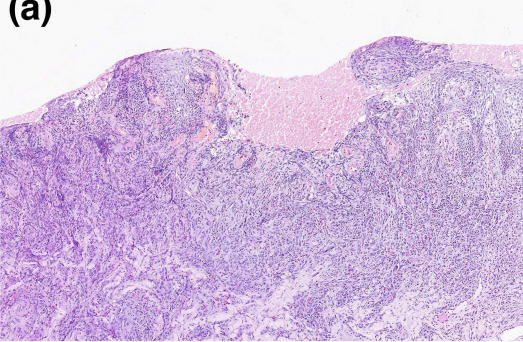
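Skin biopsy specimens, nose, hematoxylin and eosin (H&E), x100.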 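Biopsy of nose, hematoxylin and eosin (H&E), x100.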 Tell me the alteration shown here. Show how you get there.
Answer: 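Local ulceration of squamous epithelium with inflammatory exudation. The surface lacks an intact epithelial covering in the middle. A pale pink acellular layer of exudate sits over the defect. The underlying tissue is densely infiltrated by inflammatory cells.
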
